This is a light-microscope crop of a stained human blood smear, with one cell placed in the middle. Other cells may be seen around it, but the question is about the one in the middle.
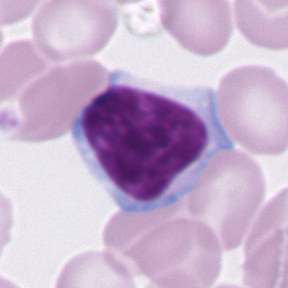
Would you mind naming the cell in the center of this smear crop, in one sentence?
The central cell shown in this smear crop is a typical lymphocyte.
